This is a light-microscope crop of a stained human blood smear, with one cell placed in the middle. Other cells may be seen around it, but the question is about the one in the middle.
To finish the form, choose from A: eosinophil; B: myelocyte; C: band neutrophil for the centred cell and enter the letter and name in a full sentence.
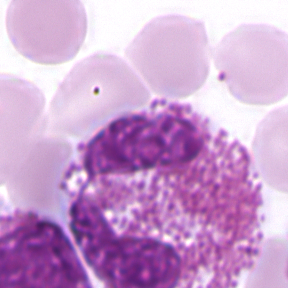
Option A is the correct one; it names the central cell as an eosinophil.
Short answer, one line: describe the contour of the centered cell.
The edge is uneven, and this unevenness takes the form of ragged stretches or projections.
